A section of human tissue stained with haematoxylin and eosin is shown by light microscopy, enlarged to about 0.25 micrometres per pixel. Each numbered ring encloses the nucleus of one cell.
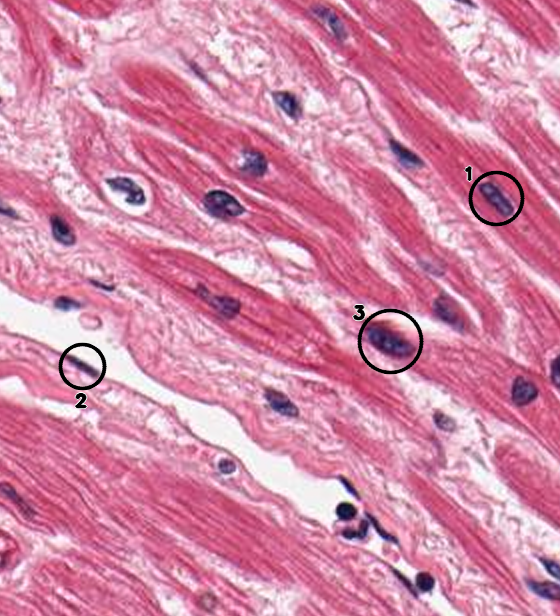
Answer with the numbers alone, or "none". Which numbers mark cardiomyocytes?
1, 3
